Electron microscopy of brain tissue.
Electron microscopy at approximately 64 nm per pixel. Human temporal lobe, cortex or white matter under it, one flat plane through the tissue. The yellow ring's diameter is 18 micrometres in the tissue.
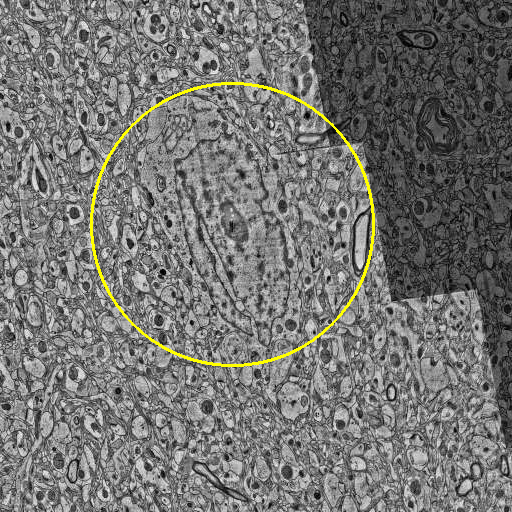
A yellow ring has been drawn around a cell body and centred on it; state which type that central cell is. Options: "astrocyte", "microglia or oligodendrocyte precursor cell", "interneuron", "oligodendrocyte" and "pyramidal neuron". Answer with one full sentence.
The cell at the middle of the yellow ring is an interneuron in this picture.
